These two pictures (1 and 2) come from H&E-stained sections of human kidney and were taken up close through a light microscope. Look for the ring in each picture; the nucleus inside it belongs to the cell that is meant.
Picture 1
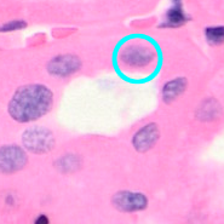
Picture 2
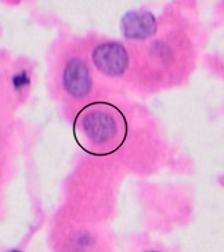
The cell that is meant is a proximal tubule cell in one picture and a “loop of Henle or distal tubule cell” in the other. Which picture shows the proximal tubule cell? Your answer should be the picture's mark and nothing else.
2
